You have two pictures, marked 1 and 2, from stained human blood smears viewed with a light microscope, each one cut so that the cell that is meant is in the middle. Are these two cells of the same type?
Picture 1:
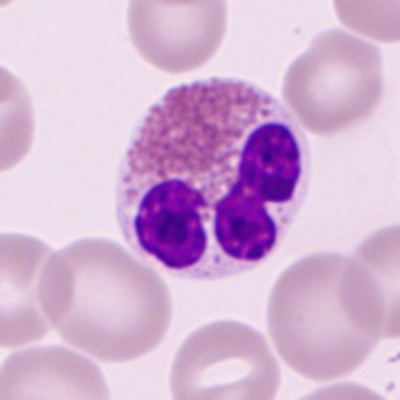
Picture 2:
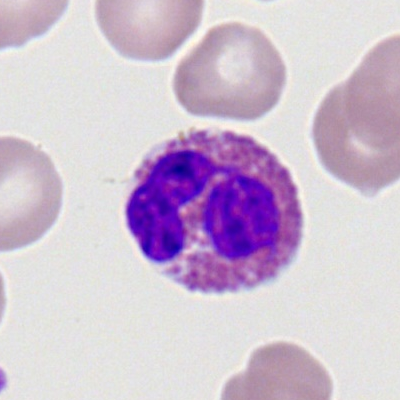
yes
